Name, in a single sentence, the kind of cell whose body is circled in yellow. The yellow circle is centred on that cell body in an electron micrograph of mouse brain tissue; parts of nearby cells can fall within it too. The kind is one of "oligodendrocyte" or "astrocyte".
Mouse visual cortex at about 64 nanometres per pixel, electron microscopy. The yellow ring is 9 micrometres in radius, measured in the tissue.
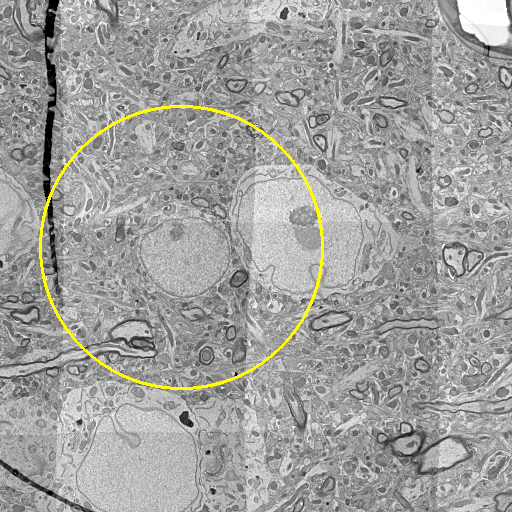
The circled cell body belongs to an astrocyte.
